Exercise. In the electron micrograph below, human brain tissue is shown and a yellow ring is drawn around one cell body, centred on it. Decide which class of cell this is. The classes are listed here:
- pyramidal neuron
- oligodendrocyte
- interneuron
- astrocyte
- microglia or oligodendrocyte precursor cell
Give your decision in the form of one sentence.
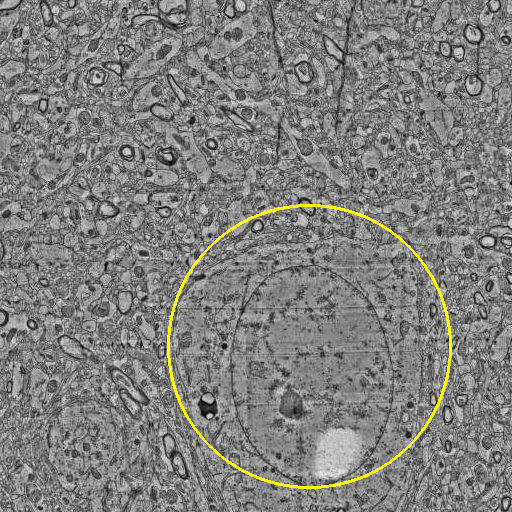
The cell body marked by the ring belongs to a pyramidal neuron.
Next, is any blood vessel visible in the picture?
No, the image shows no blood vessel.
